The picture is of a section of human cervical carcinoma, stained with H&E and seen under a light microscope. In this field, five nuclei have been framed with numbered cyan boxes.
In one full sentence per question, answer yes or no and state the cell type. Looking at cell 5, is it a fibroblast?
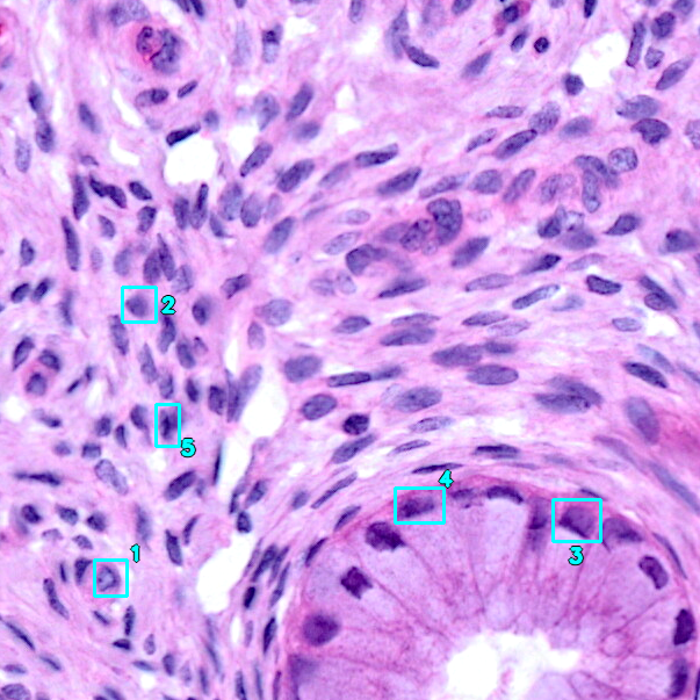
Yes, so the cell at label 5 is a fibroblast.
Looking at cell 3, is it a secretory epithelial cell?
Yes, it is a secretory epithelial cell that carries the number 3.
